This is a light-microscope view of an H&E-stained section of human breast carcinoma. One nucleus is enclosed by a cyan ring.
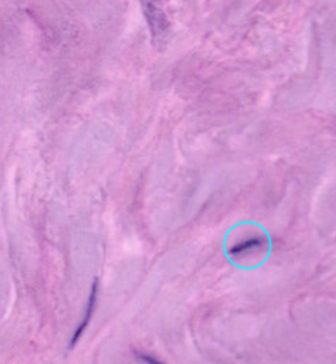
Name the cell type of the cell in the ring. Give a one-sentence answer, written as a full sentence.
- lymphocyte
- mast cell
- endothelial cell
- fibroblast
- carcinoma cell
By its classification, the cell in the ring is a fibroblast.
